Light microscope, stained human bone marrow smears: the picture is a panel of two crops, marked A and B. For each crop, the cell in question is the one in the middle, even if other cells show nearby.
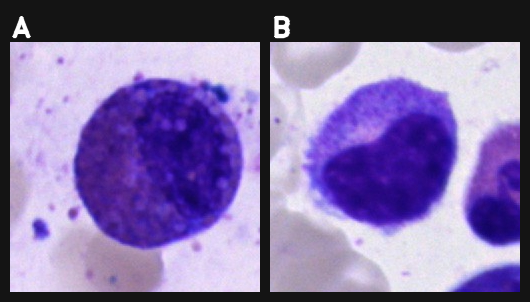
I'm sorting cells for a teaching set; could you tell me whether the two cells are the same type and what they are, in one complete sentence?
No, a promyelocyte is the cell of crop B, while an eosinophil is the cell of crop A.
